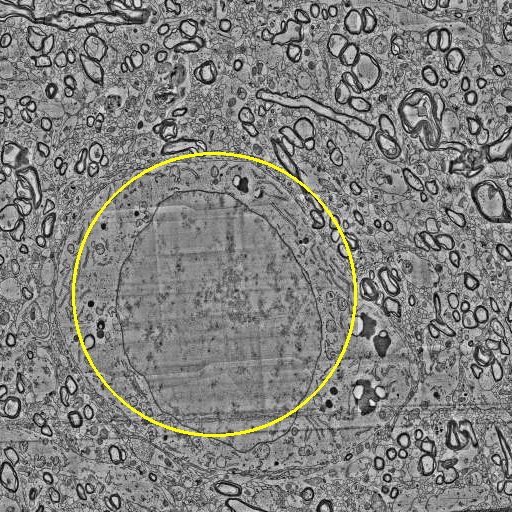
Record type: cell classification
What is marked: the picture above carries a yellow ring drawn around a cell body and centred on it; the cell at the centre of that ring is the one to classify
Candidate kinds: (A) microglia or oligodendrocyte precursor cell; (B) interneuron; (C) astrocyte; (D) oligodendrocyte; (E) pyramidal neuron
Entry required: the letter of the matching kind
E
